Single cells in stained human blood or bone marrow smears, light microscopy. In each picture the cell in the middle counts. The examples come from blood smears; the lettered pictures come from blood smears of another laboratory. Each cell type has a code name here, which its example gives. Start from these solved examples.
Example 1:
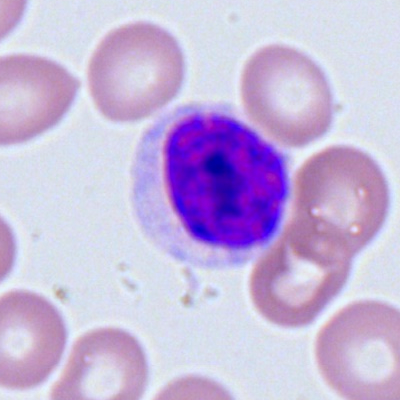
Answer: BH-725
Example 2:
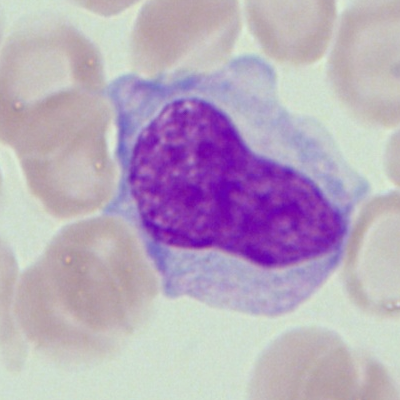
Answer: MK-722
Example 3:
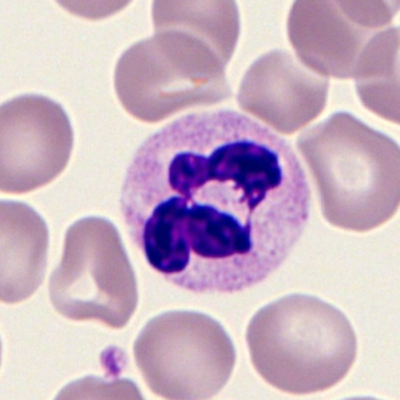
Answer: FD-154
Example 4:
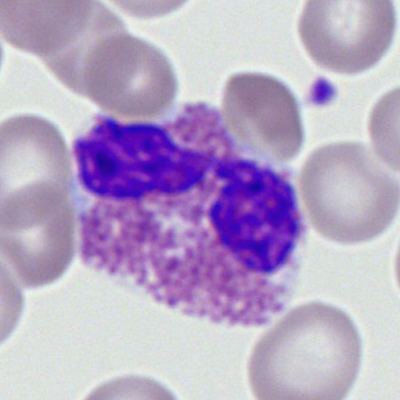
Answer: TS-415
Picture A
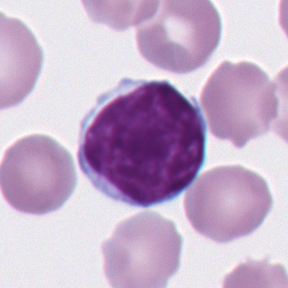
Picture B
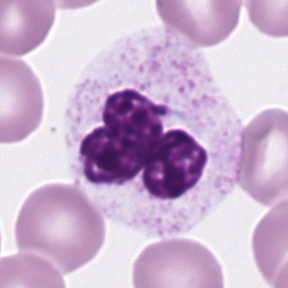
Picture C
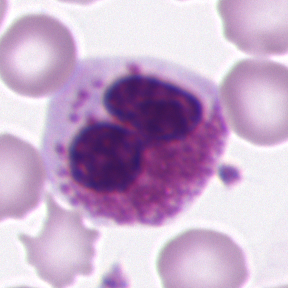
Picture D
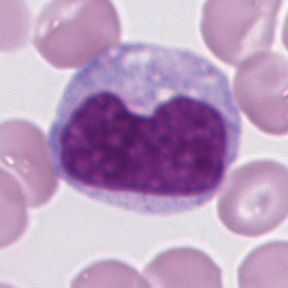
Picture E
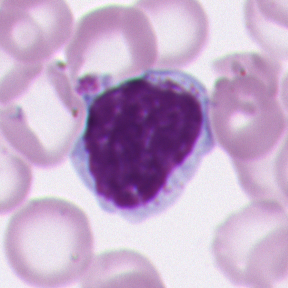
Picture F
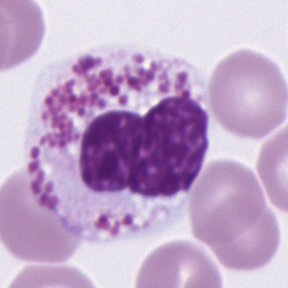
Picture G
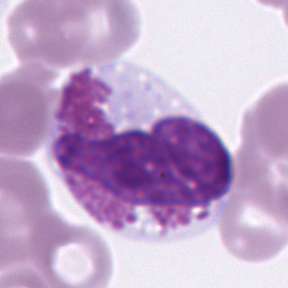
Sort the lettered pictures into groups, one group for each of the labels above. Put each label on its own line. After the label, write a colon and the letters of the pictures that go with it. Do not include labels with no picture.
BH-725: A, E
MK-722: D
FD-154: B
TS-415: C, F, G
